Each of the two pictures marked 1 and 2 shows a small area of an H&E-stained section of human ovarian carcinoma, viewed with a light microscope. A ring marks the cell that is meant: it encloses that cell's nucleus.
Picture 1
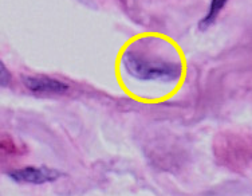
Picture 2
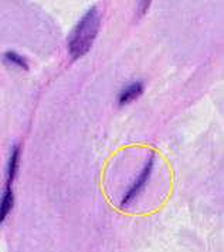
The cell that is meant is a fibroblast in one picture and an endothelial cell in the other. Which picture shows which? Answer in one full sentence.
The cell in picture 1 is an endothelial cell, and the one in picture 2 is a fibroblast.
